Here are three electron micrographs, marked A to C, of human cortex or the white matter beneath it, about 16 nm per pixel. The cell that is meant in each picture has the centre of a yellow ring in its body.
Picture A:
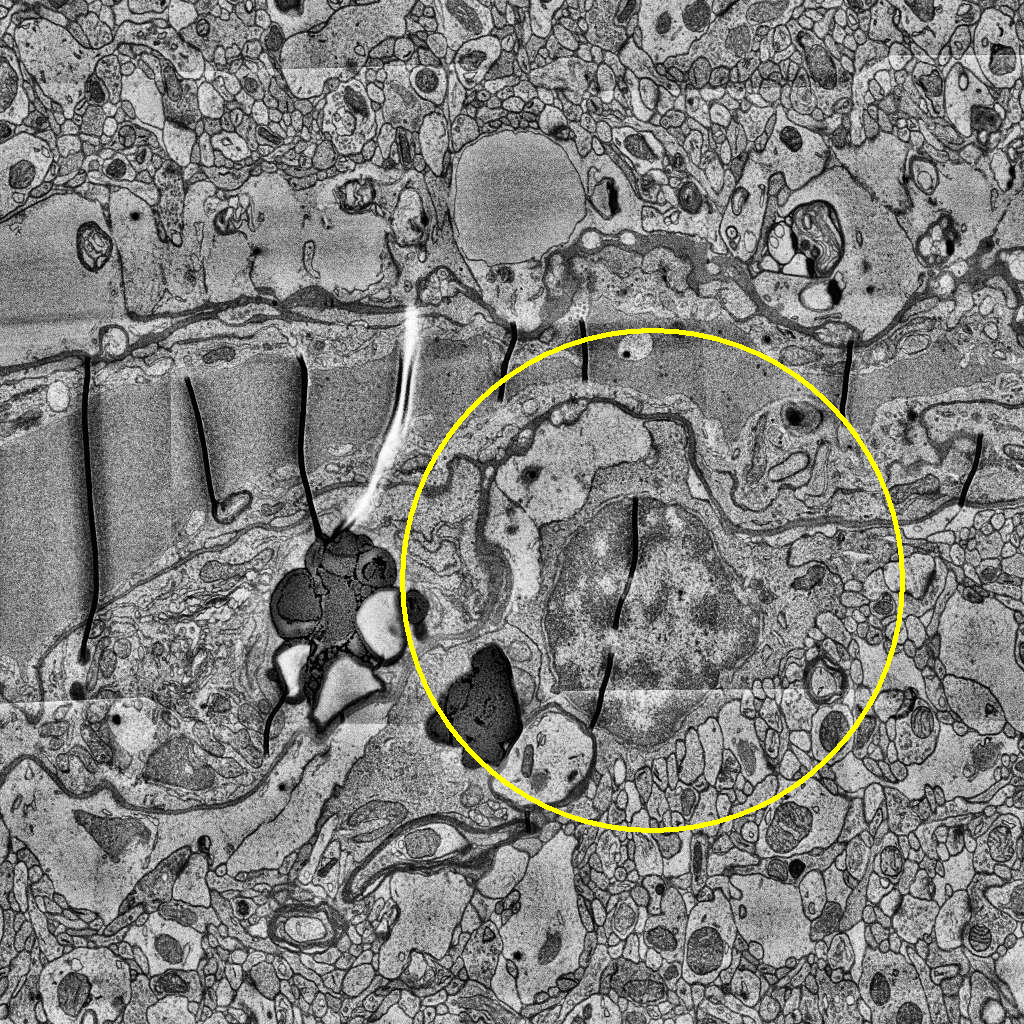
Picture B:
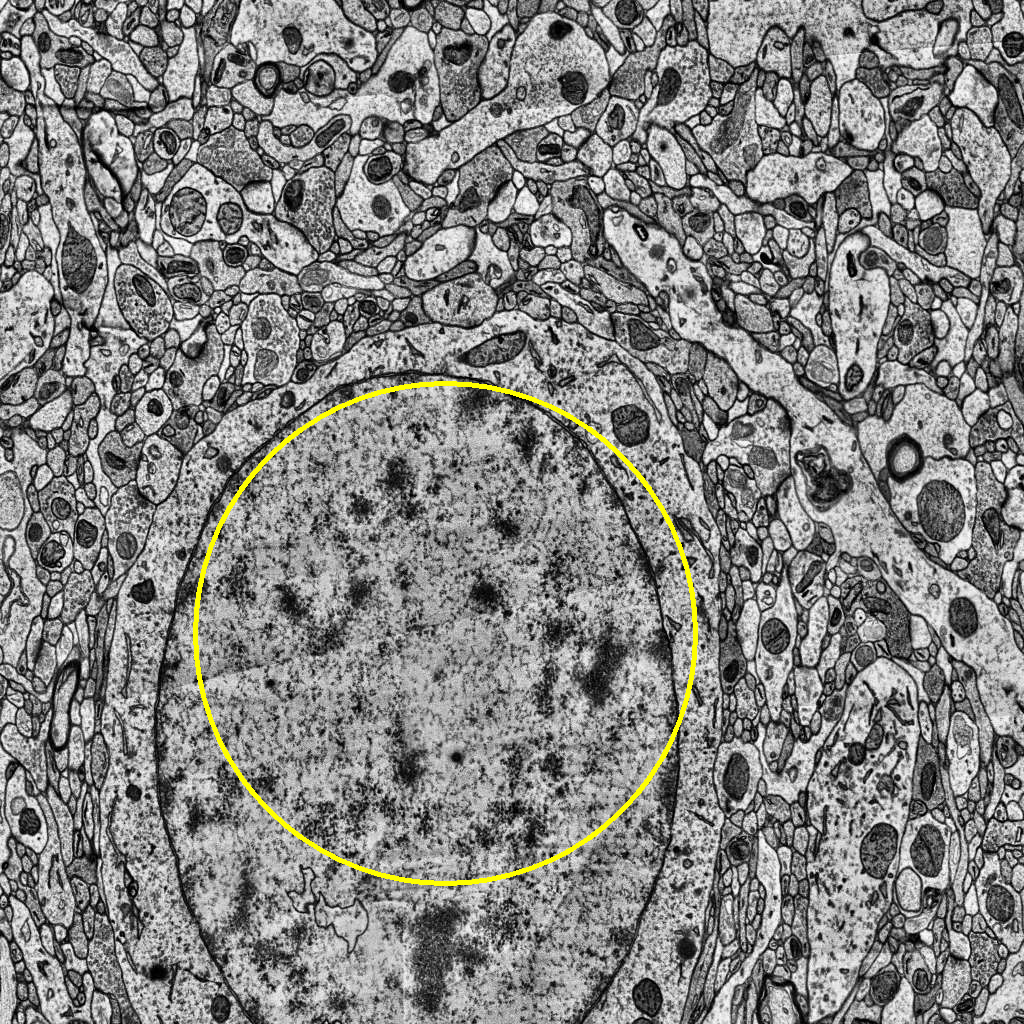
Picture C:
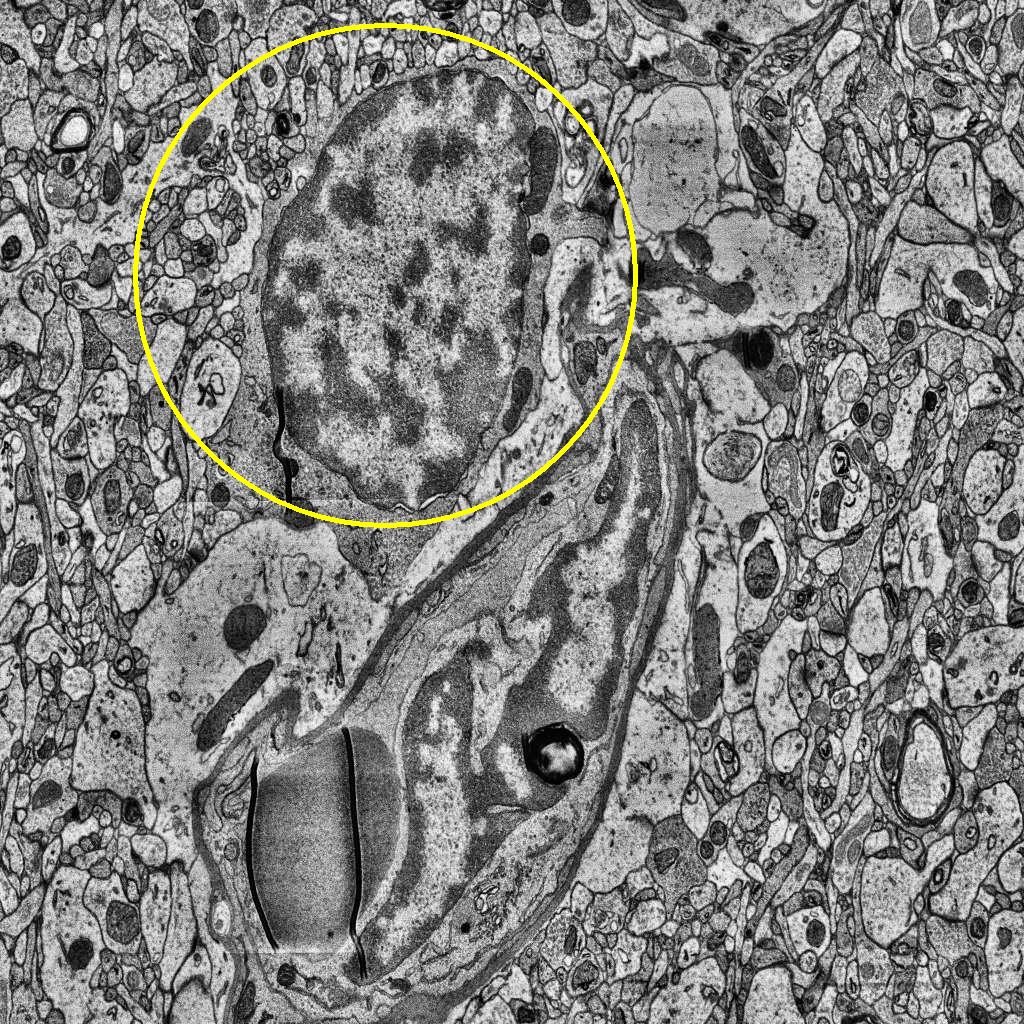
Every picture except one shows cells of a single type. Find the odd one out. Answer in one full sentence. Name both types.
Unlike the rest, which show oligodendrocytes, picture B shows a pyramidal neuron.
